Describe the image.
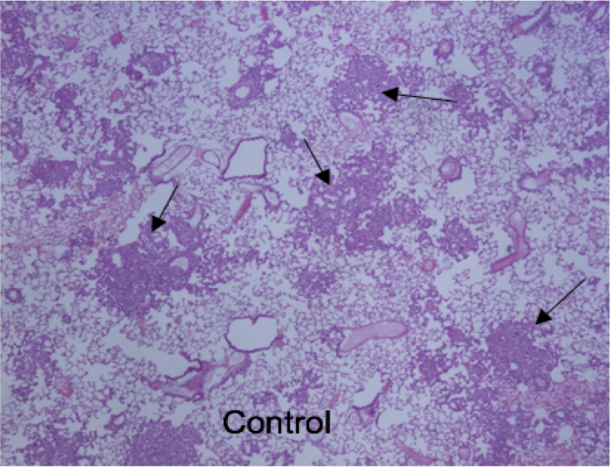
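This is lung tissue seen at low power, with a fine pink-purple lacework of thin-walled alveolar spaces interrupted by larger airways with purple epithelial linings and round pink-walled vessels. Several large, dense, purple patches lie among the air spaces. In them the alveoli are filled in by closely packed cells with dark nuclei, and the patches have irregular edges that merge into the surrounding lacework. Arrows point to some of them. Other smaller dense clusters sit nearby.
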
